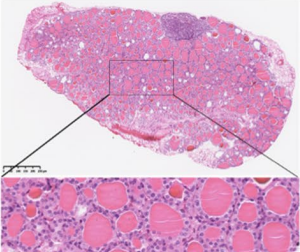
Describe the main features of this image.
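This is a section of thyroid gland seen at low power with an enlarged field below it. The gland is packed with rounded follicles of varying size, each filled with smooth, pink-staining colloid. Some colloid shows pale clefts or empty-looking spaces along its edges. Near the upper border of the section sits a compact, densely purple cellular nodule distinct from the follicular tissue.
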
